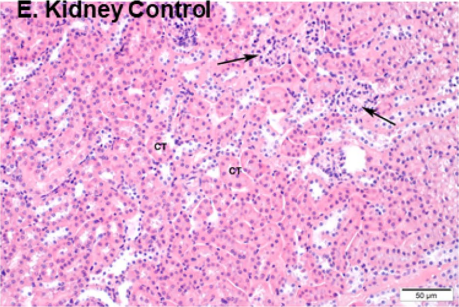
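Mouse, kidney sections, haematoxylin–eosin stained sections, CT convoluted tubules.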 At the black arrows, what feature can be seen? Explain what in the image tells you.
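Renal corpuscles. The arrows point to rounded clusters of densely packed nuclei. These clusters are surrounded by pink-stained tubular epithelium.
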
